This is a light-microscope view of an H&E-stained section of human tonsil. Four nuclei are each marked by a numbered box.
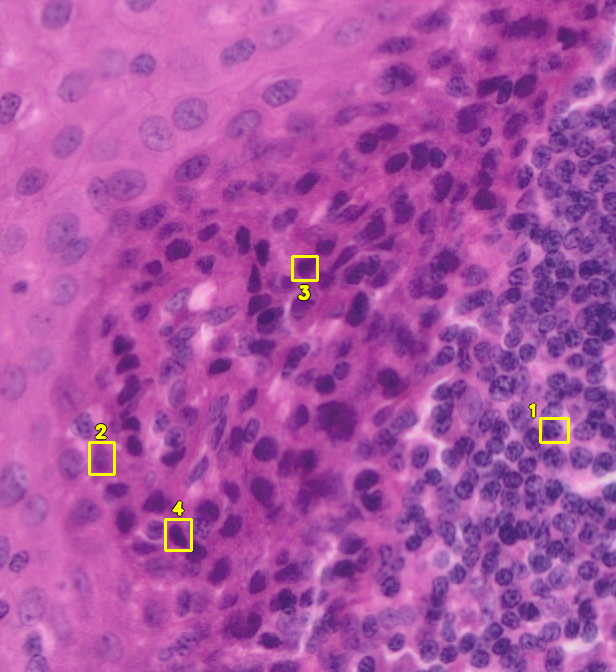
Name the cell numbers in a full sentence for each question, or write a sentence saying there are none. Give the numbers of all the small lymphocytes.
Nothing but cell 1 is a small lymphocyte among the numbered ones.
